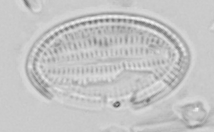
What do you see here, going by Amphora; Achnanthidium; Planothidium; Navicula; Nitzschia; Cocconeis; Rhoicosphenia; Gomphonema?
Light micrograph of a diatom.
I see Cocconeis.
